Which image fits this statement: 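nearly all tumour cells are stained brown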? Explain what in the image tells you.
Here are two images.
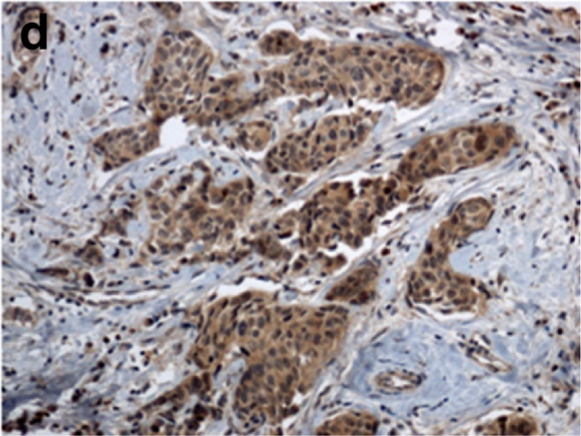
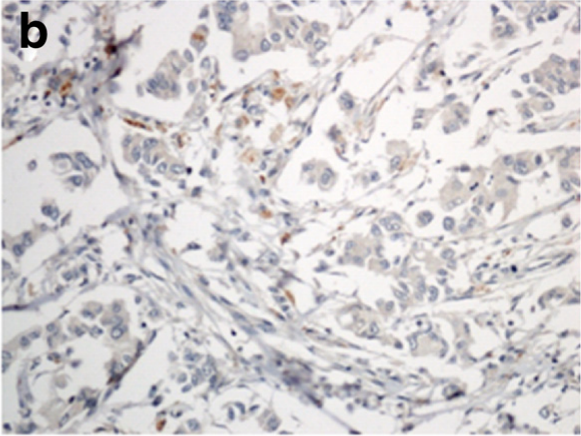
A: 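First image: the tumour nests are uniformly brown. Second image: most tumour cells are pale with blue nuclei and only scattered faint brown.
The first image.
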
